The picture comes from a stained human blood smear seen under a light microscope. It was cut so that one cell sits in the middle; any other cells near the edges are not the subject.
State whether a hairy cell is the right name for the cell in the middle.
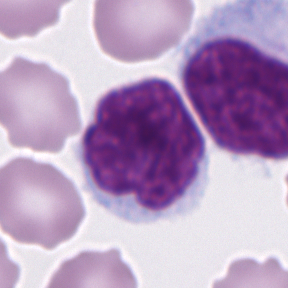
yes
